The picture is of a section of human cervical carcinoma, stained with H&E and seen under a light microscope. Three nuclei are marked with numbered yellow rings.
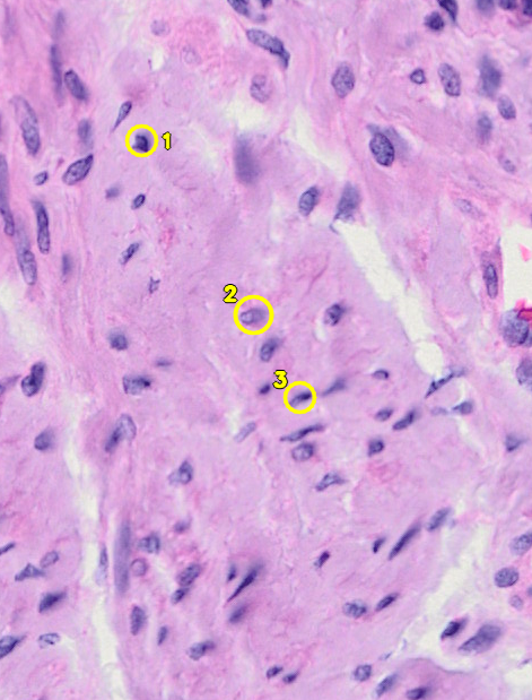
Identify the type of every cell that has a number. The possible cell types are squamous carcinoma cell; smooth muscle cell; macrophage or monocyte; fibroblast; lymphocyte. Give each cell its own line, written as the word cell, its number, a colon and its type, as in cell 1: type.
cell 1: fibroblast
cell 2: smooth muscle cell
cell 3: fibroblast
